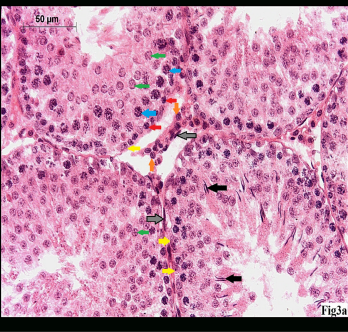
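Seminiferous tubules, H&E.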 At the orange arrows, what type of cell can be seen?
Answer: Leydig cell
